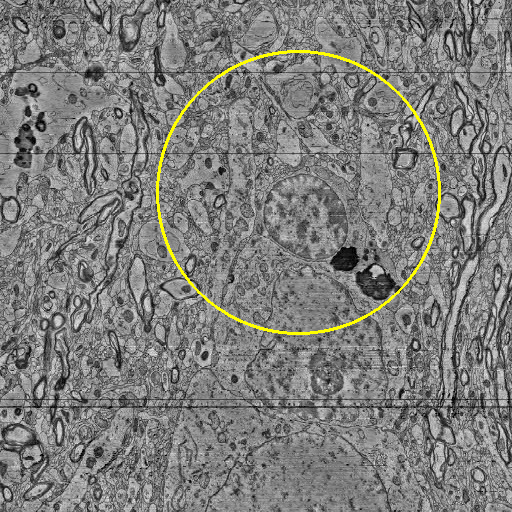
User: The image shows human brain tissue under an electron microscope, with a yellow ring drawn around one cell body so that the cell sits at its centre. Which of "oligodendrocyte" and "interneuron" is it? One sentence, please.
At the centre of the ring sits an oligodendrocyte.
